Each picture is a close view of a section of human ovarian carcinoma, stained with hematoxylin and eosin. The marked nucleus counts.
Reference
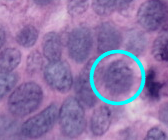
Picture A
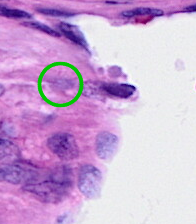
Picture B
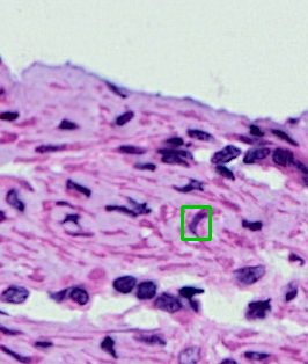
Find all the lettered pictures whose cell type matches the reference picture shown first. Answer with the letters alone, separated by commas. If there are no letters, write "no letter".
no letter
